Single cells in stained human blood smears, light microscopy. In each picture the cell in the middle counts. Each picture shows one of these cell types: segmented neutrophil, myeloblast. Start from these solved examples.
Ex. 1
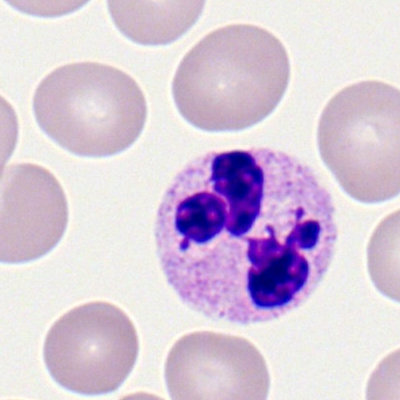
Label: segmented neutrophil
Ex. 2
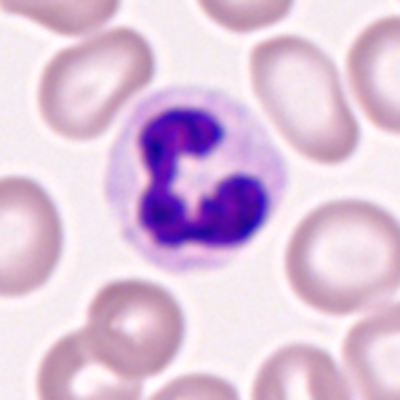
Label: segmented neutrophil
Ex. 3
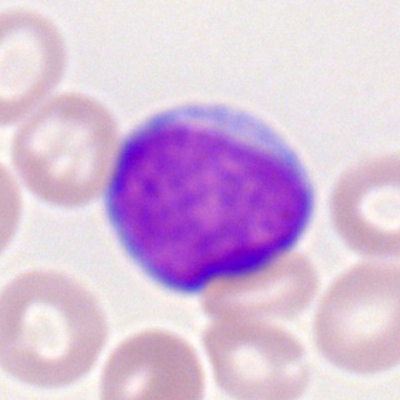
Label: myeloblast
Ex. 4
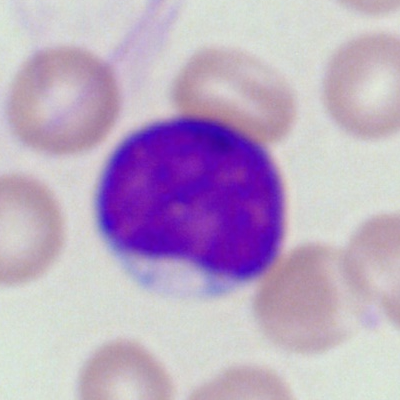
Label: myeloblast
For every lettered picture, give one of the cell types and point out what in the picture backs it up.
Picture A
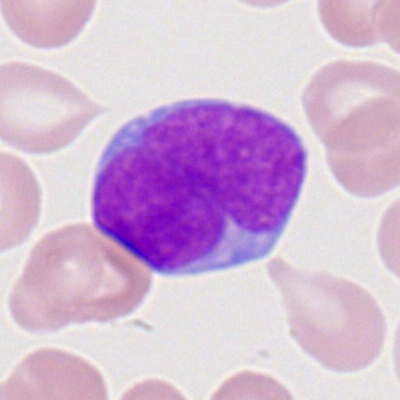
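myeloblast. Reason: The cytoplasm forms only a thin rim around the nucleus.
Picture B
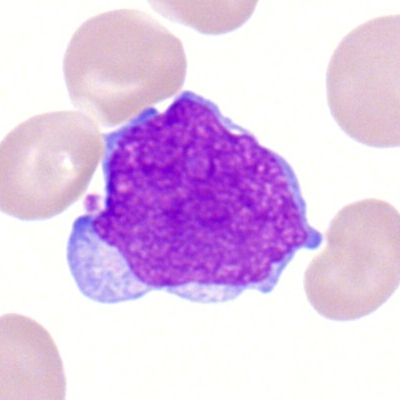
myeloblast. Reason: The nucleus fills most of the cell.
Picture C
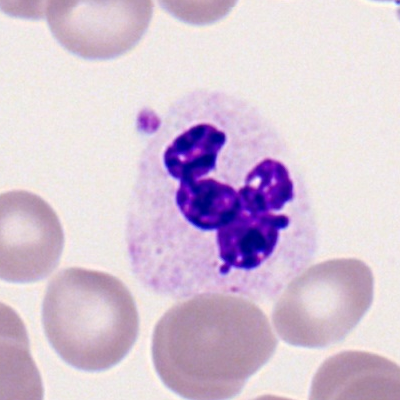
segmented neutrophil. Reason: The cytoplasm is abundant and pale pink.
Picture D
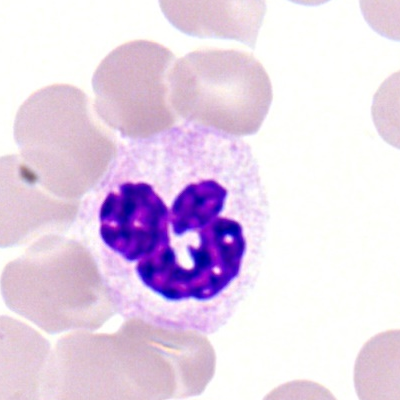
segmented neutrophil. Reason: The cytoplasm is abundant and pale pinkish-lilac.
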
